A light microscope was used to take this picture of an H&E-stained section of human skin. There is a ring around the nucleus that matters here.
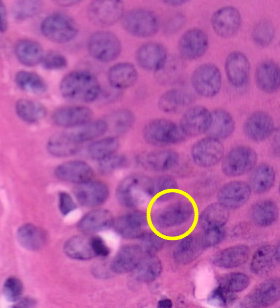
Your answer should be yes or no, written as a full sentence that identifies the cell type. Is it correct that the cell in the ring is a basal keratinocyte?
Yes, the cell in the ring is a basal keratinocyte by cell type.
